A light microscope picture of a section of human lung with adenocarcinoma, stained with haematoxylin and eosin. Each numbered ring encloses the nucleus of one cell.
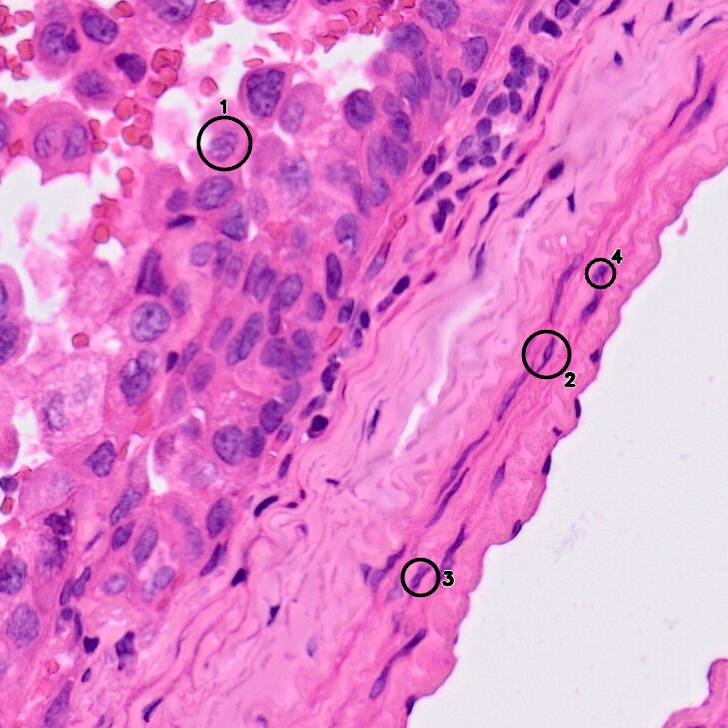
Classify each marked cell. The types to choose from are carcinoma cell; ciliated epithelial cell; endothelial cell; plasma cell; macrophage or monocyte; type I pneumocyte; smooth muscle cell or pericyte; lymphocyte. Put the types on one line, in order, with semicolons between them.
carcinoma cell; smooth muscle cell or pericyte; smooth muscle cell or pericyte; smooth muscle cell or pericyte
